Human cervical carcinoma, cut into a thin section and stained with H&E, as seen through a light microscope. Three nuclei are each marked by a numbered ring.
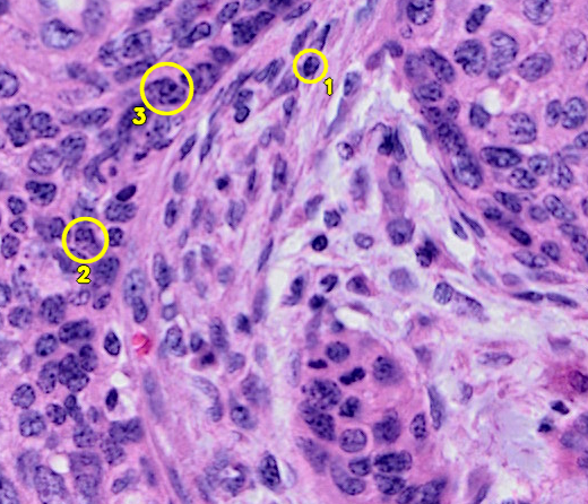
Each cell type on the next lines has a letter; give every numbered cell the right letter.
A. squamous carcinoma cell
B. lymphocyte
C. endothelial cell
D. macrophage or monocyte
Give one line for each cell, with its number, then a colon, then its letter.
1: B
2: A
3: A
